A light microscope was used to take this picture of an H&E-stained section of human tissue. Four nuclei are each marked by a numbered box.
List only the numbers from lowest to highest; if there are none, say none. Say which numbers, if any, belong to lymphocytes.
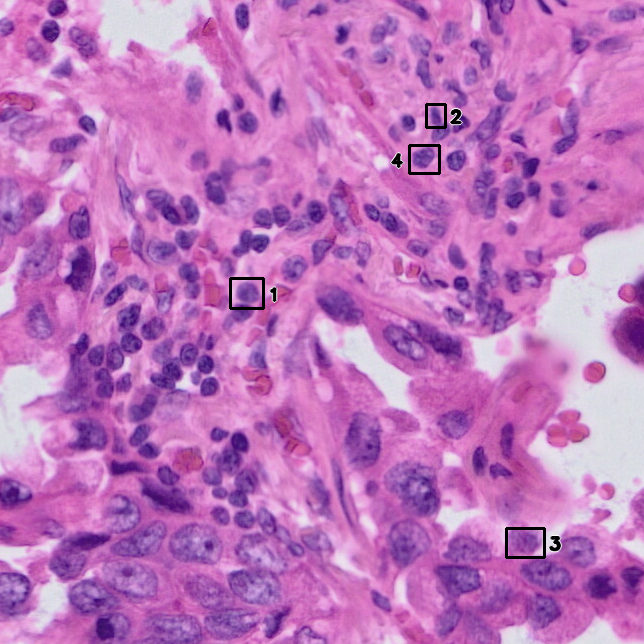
1, 2, 4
